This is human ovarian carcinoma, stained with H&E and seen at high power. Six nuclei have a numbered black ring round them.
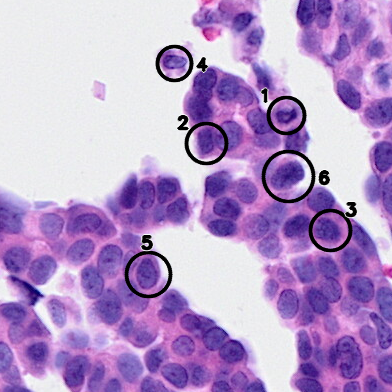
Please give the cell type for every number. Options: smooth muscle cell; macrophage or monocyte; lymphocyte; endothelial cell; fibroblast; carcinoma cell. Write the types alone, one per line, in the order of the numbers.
macrophage or monocyte
carcinoma cell
carcinoma cell
macrophage or monocyte
carcinoma cell
carcinoma cell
